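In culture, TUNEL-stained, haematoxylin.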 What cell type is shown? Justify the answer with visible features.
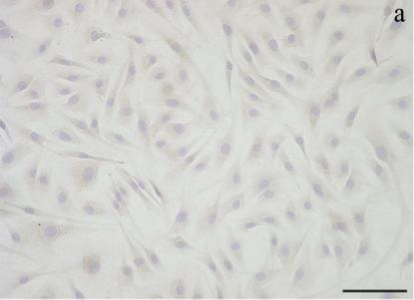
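Flat, spindle-shaped and stellate cells grow as a monolayer. Each cell has a single oval nucleus with pale cytoplasm.
Answer: fibroblasts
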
